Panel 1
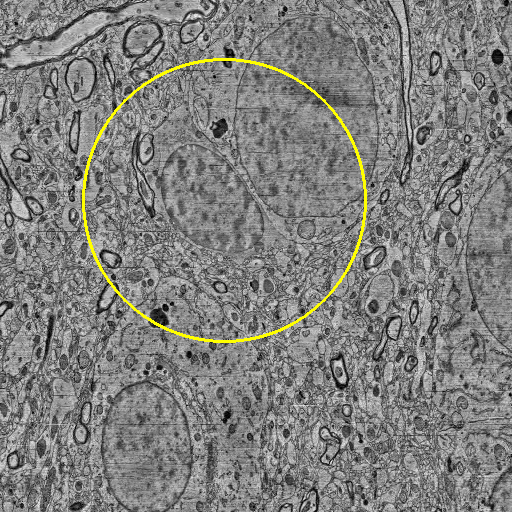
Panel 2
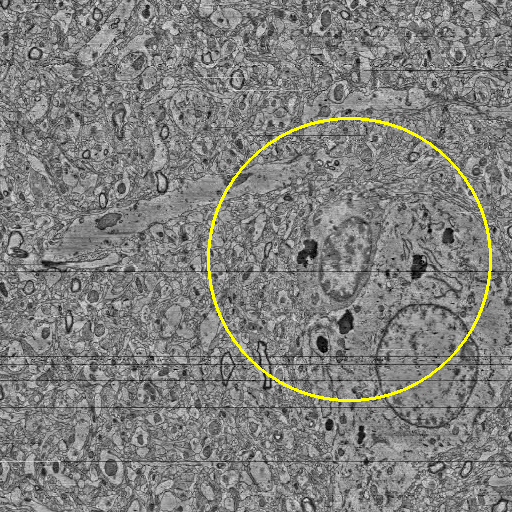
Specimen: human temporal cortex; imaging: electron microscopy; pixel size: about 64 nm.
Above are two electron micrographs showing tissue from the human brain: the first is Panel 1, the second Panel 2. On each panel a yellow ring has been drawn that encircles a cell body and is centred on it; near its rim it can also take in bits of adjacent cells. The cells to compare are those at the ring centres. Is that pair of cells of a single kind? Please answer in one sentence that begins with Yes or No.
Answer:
Yes, the ring-centred cells of Panel 1 and Panel 2 belong to one kind.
